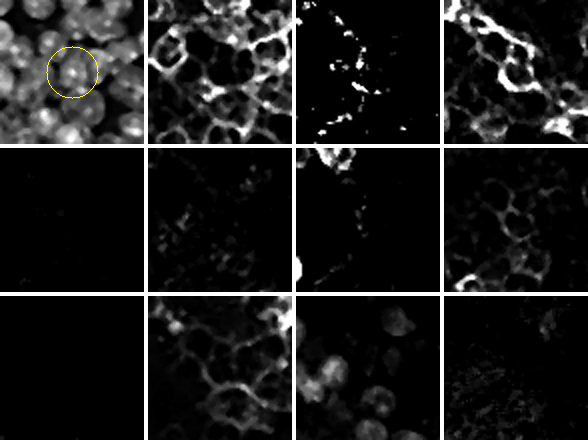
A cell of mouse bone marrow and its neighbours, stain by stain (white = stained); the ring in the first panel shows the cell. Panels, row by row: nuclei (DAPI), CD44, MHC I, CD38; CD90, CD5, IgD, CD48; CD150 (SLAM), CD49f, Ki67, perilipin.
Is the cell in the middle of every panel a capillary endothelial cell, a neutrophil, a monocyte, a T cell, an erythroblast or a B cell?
It is a capillary endothelial cell.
